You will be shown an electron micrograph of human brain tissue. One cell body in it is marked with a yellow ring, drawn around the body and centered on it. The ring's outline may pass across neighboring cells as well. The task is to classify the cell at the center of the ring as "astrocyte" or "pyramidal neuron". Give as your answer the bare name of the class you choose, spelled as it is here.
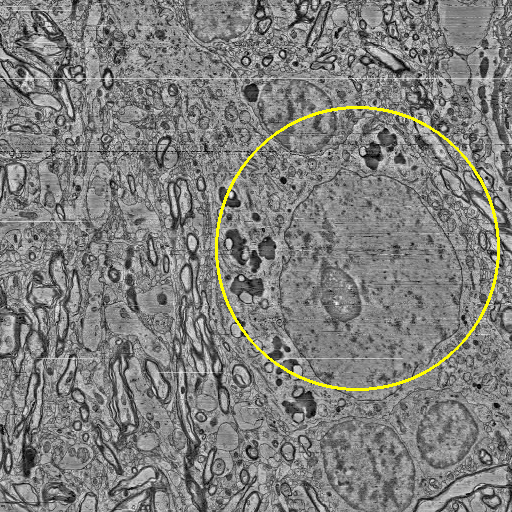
pyramidal neuron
